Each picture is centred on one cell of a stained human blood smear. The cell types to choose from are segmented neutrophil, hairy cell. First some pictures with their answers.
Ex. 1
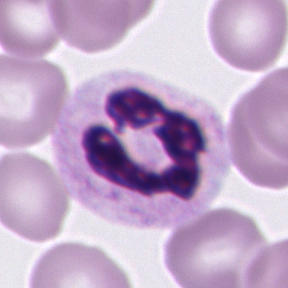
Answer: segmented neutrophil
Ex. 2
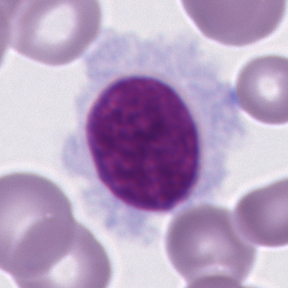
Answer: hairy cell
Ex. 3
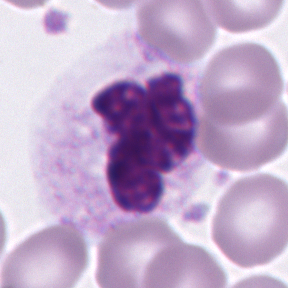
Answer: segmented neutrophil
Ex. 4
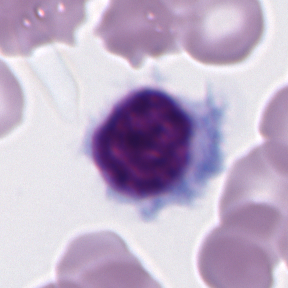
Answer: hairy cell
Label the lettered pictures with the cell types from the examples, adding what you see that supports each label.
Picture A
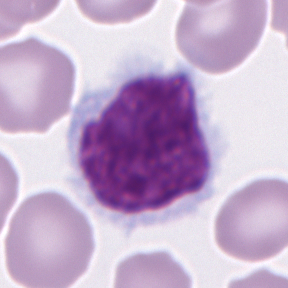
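hairy cell: The cytoplasm forms only a narrow rim around the nucleus.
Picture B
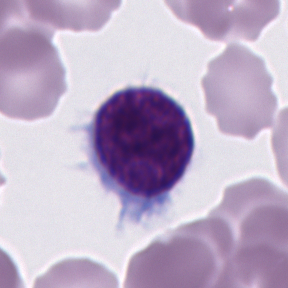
hairy cell: The cytoplasm is a scant rim of pale blue.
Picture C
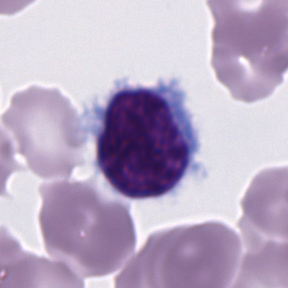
hairy cell: The cytoplasm is scant and pale blue.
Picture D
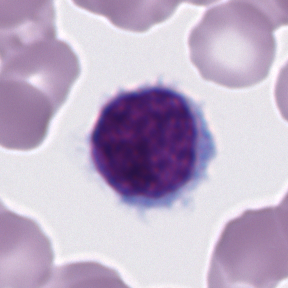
hairy cell: The cytoplasm forms a thin rim that is widest on the right side of the cell.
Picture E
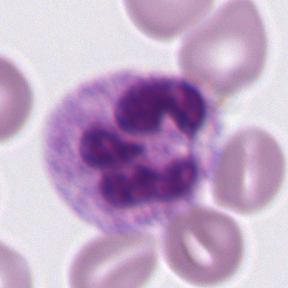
segmented neutrophil: The nucleus is divided into several lobes.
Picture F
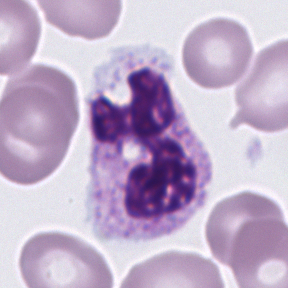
segmented neutrophil: The cytoplasm is plentiful and pale pinkish-lilac.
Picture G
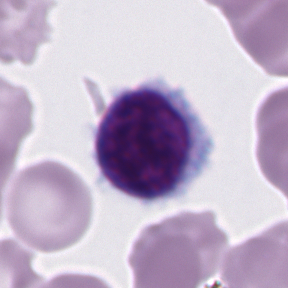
hairy cell: The cytoplasm forms a thin rim that is widest on the right side of the cell.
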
